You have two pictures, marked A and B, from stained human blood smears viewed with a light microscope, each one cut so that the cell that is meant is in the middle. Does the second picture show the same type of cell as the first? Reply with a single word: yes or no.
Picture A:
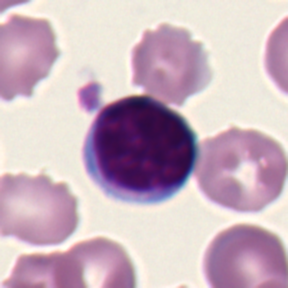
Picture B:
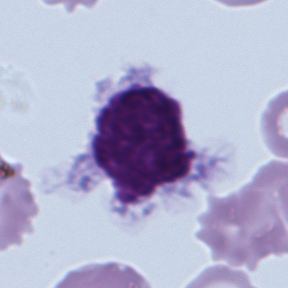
no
